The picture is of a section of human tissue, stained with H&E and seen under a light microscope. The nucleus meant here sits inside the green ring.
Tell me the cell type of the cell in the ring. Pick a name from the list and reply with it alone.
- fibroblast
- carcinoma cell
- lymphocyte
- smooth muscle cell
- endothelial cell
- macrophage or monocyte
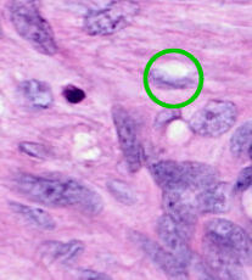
fibroblast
